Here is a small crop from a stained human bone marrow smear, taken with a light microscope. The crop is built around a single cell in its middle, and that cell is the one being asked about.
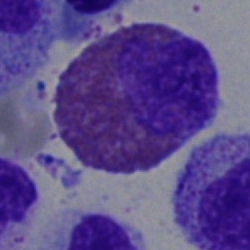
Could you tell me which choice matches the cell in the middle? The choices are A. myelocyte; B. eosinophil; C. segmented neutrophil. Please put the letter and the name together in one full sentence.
It is an eosinophil that occupies the centre of the crop, so option B is correct.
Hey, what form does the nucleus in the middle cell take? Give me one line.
Key feature: a single compact nucleus, round, oval or kidney-shaped.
